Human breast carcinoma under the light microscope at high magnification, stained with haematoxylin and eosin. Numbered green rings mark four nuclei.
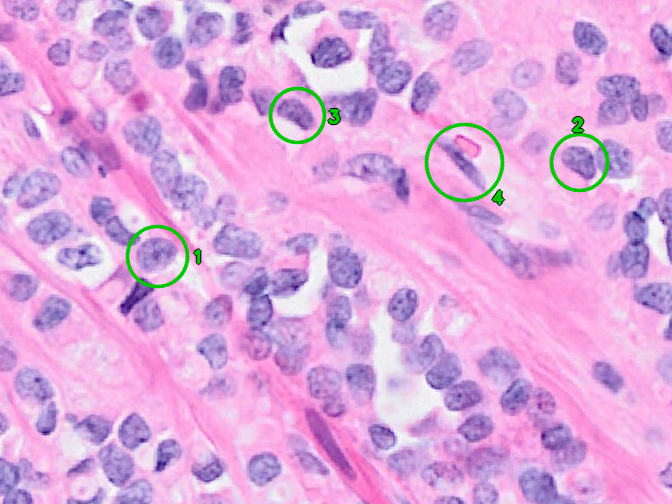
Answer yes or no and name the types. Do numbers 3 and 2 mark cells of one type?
Yes, the cells bearing numbers 3 and 2 are both carcinoma cells.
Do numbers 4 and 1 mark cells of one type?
No, the cell at number 4 is an endothelial cell, and the cell at number 1 is a carcinoma cell.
